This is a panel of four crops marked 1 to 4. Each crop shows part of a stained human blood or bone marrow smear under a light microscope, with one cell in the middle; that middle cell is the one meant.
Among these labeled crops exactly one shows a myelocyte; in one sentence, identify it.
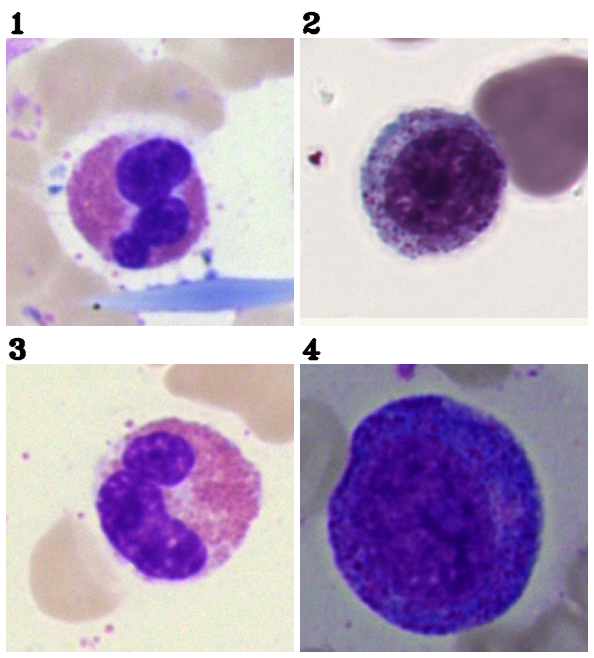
Crop 2 represents a myelocyte, while the other crops do not.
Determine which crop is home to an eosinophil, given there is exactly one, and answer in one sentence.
The crop with an eosinophil at its center is crop 1.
